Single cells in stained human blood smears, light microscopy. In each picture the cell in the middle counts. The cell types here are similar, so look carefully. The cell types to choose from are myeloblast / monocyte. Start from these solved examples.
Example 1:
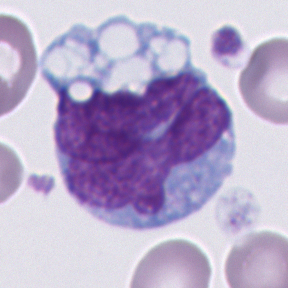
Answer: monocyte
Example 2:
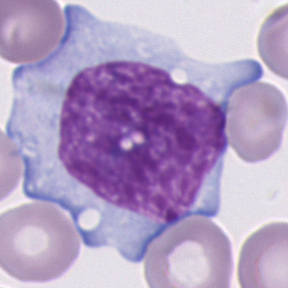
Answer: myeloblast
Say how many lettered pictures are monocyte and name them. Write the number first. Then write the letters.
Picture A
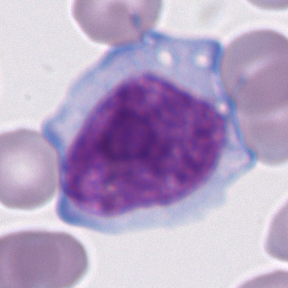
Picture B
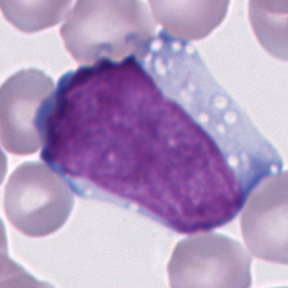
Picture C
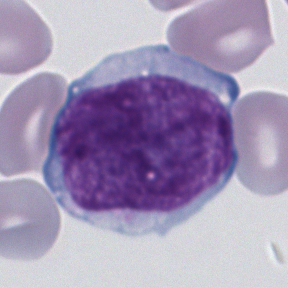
0, none of them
